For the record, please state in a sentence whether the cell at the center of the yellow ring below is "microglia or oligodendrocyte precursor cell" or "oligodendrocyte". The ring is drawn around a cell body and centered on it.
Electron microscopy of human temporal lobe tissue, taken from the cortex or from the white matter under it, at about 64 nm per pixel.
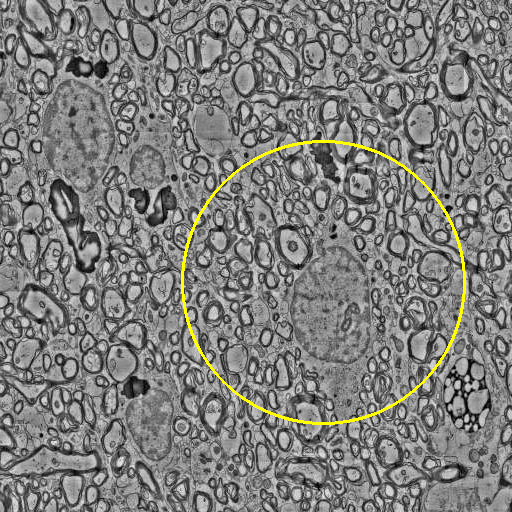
The cell at the ring's center is an oligodendrocyte.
